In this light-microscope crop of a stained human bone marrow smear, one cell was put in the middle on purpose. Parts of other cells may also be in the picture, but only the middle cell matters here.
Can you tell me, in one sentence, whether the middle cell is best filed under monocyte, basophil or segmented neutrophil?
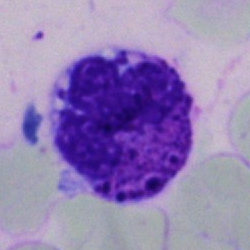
The cell nearest the centre of this crop is a basophil.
